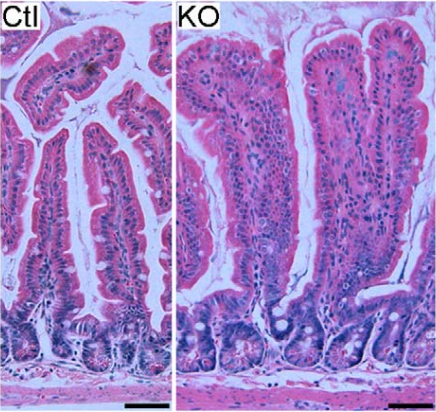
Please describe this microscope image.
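The villi are lined by a single layer of columnar epithelial cells with pink cytoplasm and rows of purple nuclei. Their cores hold loose lamina propria. The crypts form small rounded glandular profiles at the base and have densely packed purple nuclei. In the right image the villi look broader and more leaf-shaped than the narrower villi on the left.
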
